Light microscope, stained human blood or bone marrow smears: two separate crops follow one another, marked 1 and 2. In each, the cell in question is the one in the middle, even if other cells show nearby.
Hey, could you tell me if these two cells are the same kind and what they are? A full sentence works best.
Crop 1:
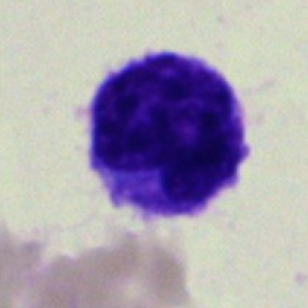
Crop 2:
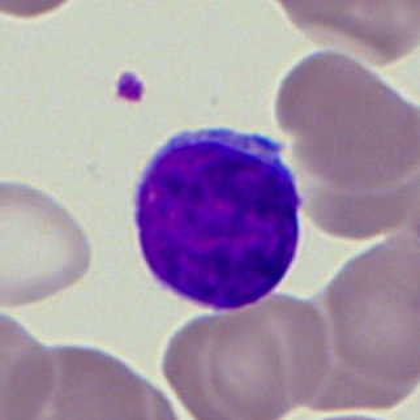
Yes, the cells found in the middle of both crops are lymphocytes.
